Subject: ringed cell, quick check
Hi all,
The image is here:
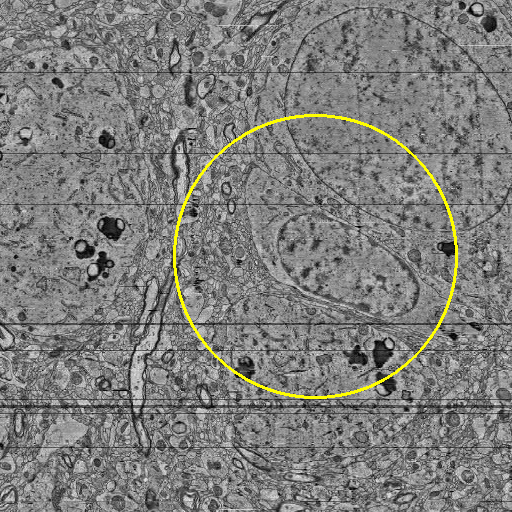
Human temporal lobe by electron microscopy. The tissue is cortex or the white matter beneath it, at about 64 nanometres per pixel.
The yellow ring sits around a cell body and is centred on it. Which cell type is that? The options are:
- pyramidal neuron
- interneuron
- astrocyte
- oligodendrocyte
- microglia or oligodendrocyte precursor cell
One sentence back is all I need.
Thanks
That ringed cell is a microglial cell or oligodendrocyte precursor cell.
